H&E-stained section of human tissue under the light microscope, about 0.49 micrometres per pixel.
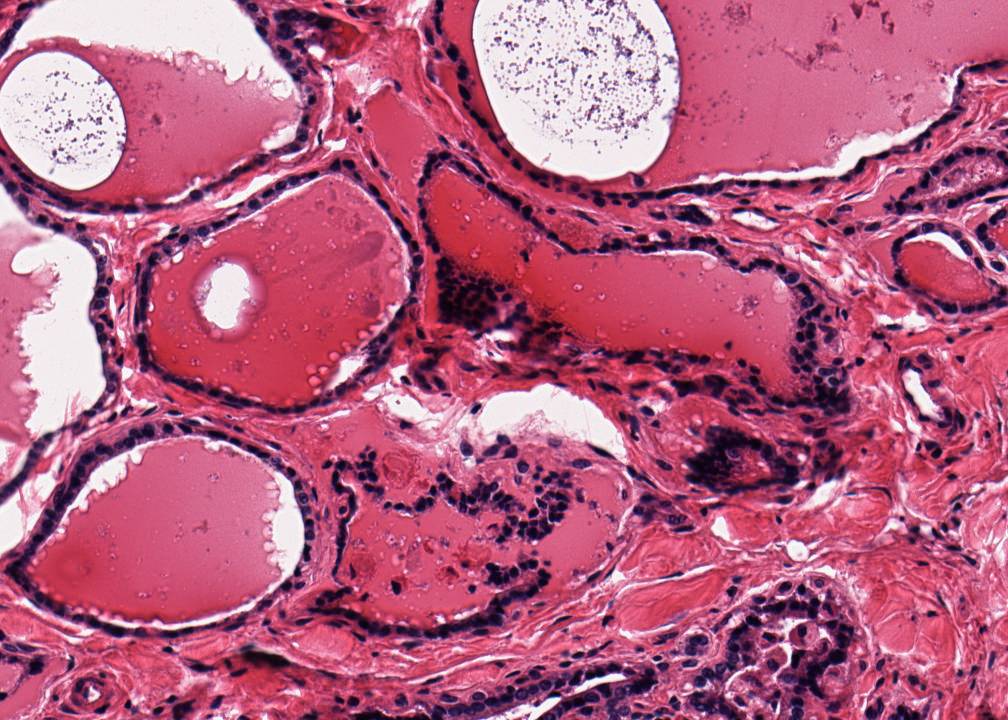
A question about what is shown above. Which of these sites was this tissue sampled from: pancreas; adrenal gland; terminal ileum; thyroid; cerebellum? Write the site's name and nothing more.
thyroid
